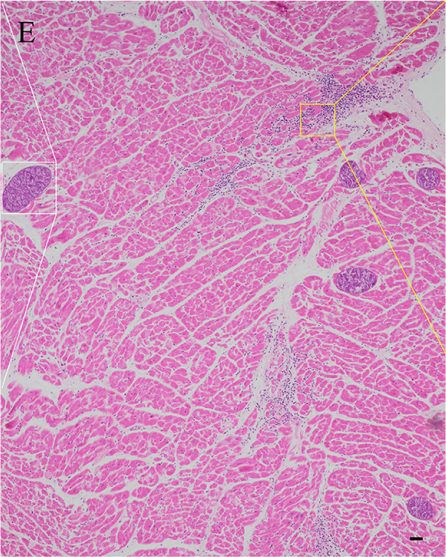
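Low-power view of myocardium with pink, branching cardiac muscle fibers cut in various planes and separated by pale clefts. Several oval, purple-staining cysts lie within the muscle fibers, and focal clusters of small dark-nucleated inflammatory cells occupy the interstitium.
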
